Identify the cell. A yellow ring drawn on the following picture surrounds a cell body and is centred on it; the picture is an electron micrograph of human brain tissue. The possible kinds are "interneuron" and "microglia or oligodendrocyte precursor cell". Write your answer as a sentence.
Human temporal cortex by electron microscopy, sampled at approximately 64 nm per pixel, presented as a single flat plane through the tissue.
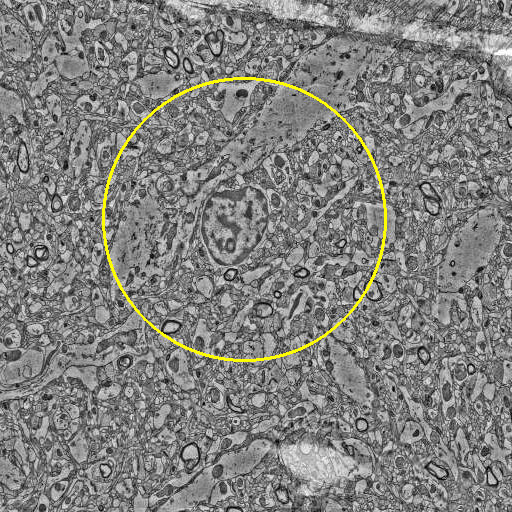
The cell identified by the ring is a microglial cell or oligodendrocyte precursor cell.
